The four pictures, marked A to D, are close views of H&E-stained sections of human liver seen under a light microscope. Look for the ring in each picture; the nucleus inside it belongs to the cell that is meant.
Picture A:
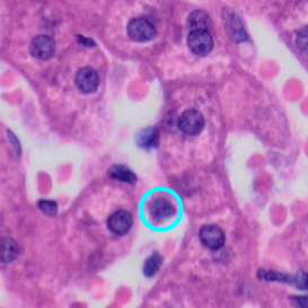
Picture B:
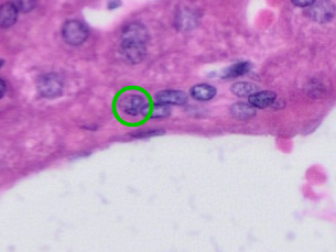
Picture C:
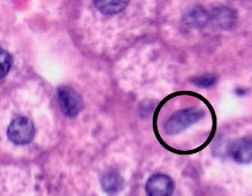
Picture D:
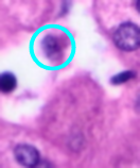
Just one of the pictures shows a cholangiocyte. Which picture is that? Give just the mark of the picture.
B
